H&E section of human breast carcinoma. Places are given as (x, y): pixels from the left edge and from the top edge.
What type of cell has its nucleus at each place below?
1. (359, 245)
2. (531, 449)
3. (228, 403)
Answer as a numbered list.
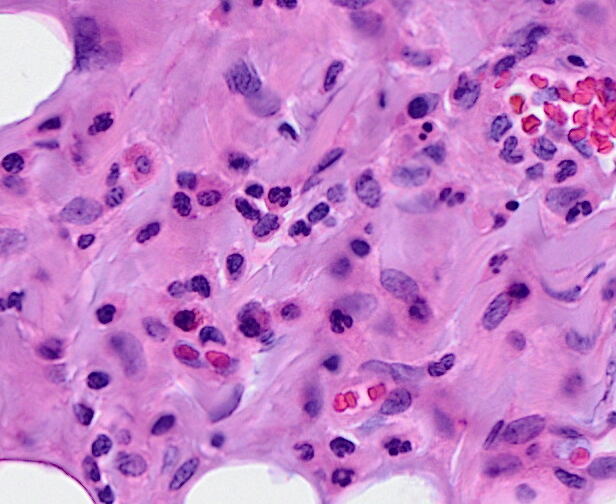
1. lymphocyte
2. endothelial cell
3. fibroblast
